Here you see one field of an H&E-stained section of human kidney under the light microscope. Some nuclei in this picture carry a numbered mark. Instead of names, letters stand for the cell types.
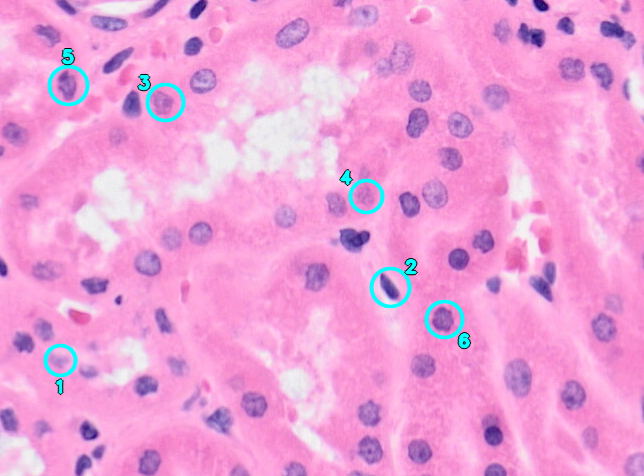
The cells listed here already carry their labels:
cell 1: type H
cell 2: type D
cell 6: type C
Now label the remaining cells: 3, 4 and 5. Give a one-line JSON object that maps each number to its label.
{"3": "type C", "4": "type C", "5": "type C"}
